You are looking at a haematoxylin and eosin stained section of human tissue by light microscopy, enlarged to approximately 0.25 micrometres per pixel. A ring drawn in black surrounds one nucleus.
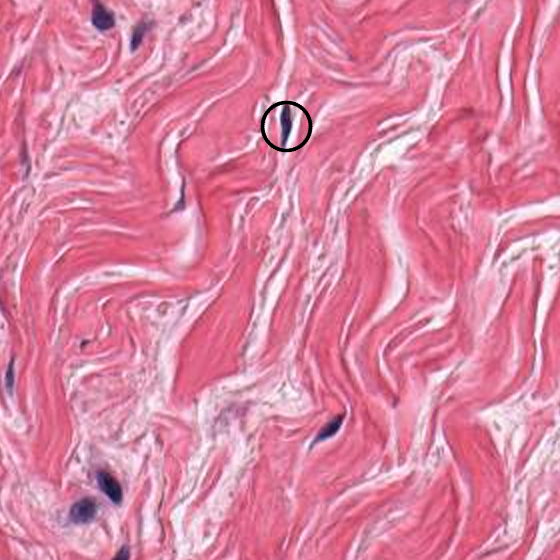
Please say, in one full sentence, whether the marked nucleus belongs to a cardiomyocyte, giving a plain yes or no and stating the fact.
No, what carries the marked nucleus is a supporting cell rather than a cardiomyocyte.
